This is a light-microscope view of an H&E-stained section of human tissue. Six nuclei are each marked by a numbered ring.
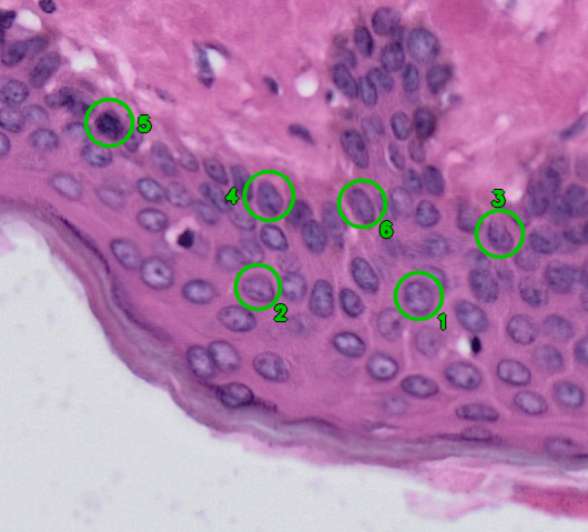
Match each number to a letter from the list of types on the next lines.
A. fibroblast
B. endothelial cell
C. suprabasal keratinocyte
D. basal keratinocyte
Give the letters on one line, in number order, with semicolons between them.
C; C; D; D; D; D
